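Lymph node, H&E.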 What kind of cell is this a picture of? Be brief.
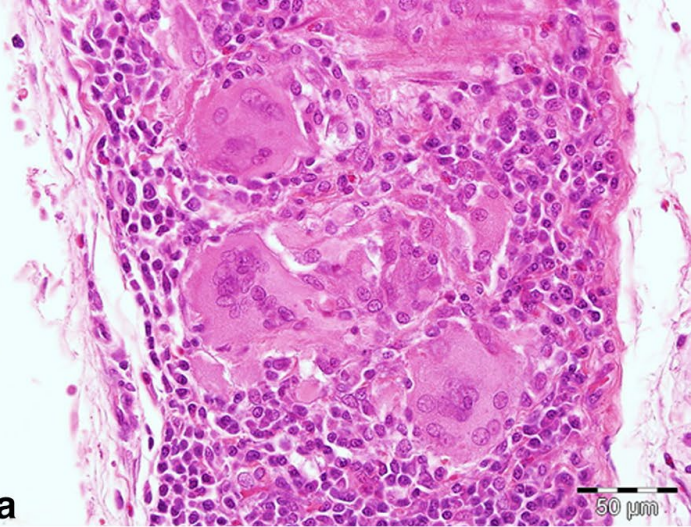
Multinucleated giant cells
